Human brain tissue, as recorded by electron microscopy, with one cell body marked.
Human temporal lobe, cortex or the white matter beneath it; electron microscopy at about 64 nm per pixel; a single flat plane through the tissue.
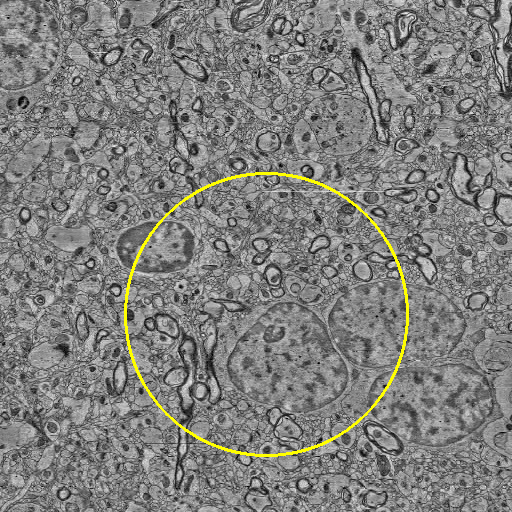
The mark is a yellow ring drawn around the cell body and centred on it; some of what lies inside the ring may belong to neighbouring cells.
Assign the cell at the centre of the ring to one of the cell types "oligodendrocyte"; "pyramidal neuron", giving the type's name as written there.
oligodendrocyte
